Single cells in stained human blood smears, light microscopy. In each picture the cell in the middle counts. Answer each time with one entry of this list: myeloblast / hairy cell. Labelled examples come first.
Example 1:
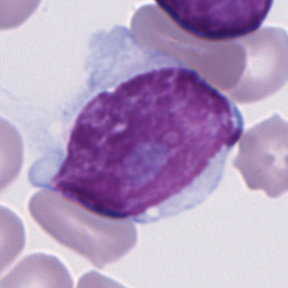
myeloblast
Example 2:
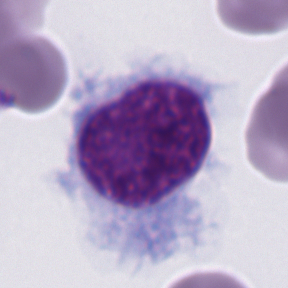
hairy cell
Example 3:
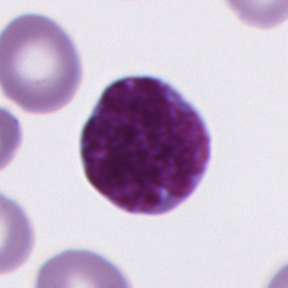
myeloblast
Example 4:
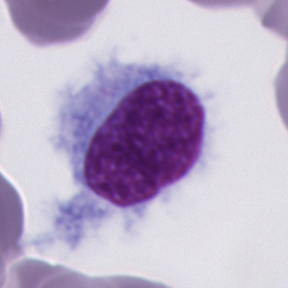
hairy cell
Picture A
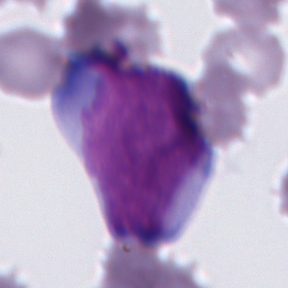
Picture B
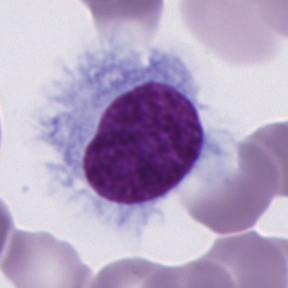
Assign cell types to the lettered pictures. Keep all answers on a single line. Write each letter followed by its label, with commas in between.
A myeloblast, B hairy cell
